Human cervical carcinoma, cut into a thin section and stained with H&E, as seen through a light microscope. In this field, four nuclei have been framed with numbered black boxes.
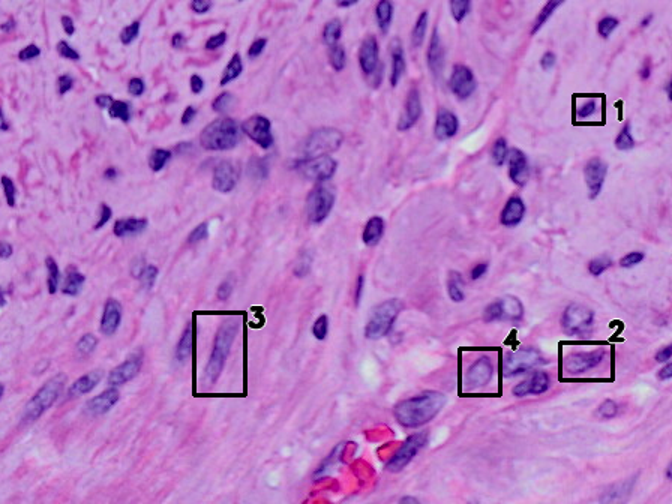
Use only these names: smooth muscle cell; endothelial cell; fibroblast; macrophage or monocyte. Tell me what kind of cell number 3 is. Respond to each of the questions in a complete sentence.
Among the marked cells, number 3 is a smooth muscle cell.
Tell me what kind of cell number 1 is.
The cell marked with number 1 is a fibroblast.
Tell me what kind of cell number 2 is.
Looking at the numbered marks, cell 2 is an endothelial cell.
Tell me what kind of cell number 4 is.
The nucleus labelled 4 belongs to an endothelial cell.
